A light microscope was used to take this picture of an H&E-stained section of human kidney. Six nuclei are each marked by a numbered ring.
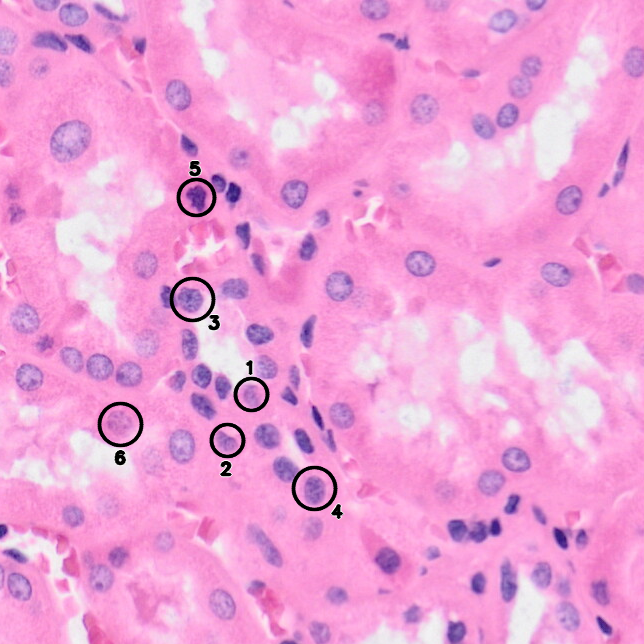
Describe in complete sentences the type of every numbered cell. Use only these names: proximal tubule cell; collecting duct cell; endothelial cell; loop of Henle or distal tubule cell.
Cell 1 is a loop of Henle or distal tubule cell, cell 2 is a loop of Henle or distal tubule cell, cell 3 is a loop of Henle or distal tubule cell, cell 4 is a loop of Henle or distal tubule cell, cell 5 is a proximal tubule cell and cell 6 is a proximal tubule cell.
